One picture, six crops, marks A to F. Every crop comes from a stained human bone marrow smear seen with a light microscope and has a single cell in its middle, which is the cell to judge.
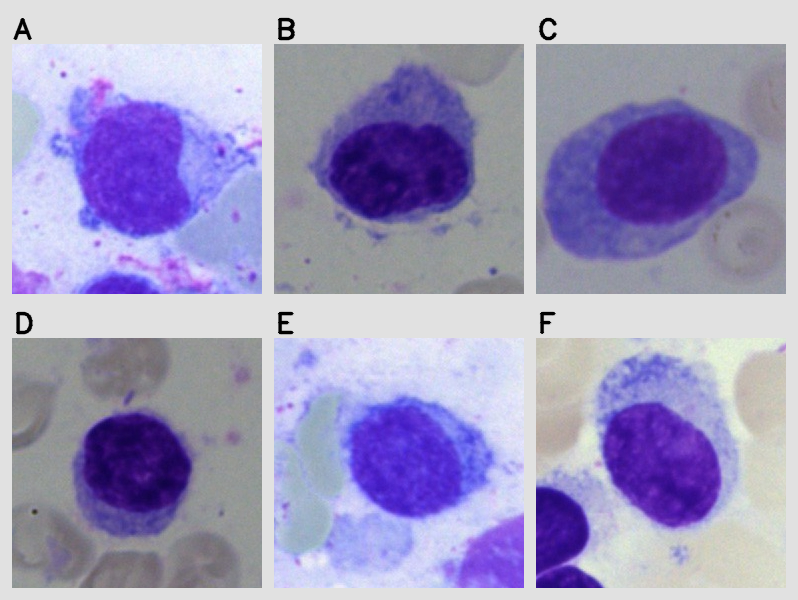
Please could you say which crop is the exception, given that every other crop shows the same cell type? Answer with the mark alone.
C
